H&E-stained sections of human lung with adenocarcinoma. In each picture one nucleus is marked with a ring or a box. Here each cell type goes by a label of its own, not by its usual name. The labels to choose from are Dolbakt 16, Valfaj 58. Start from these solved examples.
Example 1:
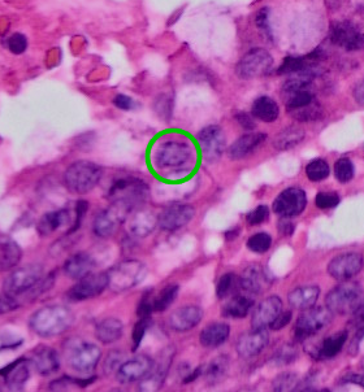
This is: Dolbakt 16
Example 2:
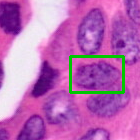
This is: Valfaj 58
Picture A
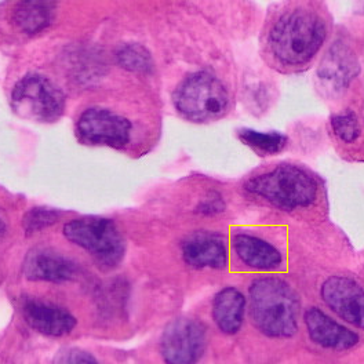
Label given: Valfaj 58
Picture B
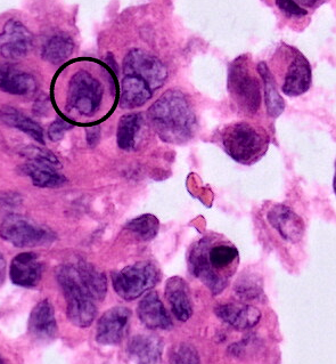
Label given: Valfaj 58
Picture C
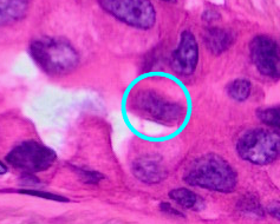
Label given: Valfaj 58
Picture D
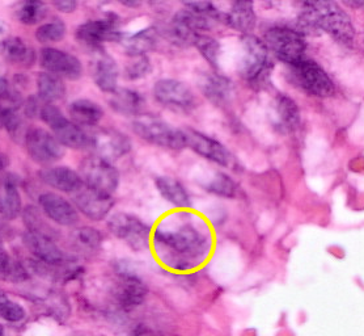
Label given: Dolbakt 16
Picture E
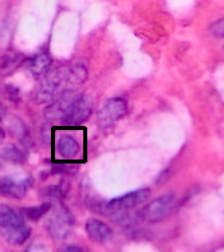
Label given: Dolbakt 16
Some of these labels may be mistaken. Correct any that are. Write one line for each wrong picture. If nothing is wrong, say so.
All correct.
